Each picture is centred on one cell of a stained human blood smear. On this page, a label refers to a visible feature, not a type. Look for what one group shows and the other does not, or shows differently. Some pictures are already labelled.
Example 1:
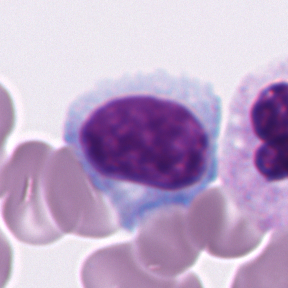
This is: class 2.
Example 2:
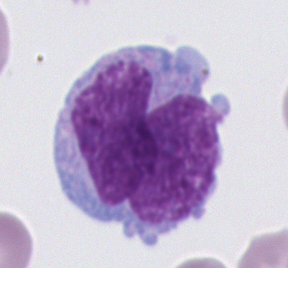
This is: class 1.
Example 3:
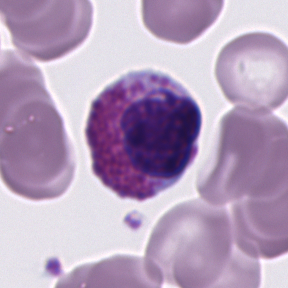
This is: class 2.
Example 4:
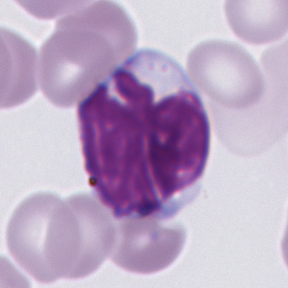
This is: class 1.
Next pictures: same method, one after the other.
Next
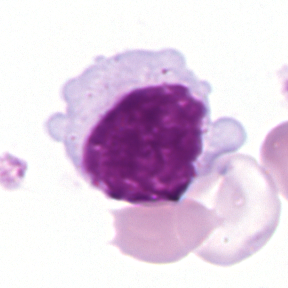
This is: class 2.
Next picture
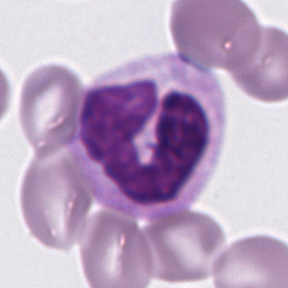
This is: class 2.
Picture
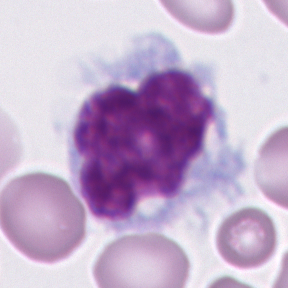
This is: class 1.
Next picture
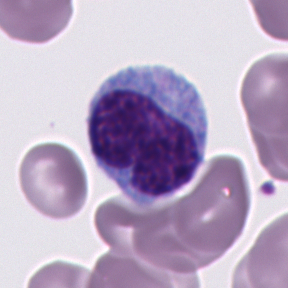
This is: class 2.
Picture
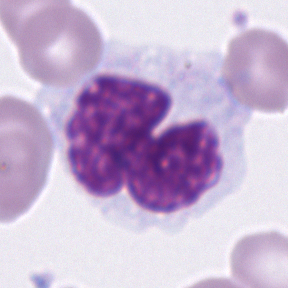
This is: class 1.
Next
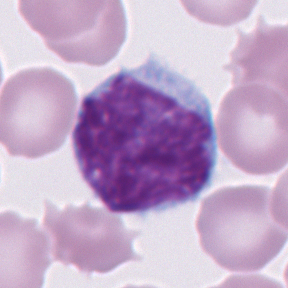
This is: class 2.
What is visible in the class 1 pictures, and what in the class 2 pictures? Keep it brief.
class 1: lobed nucleus; class 2: single compact nucleus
